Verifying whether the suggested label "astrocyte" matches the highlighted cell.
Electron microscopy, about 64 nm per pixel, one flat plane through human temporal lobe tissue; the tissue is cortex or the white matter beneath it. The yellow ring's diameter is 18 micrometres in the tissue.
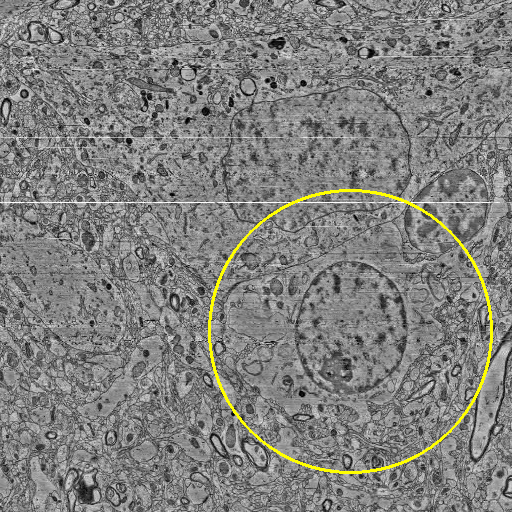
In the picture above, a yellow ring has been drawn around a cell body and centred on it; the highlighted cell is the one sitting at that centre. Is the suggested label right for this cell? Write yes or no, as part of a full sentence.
Yes, the suggested label is right for the cell centred in the yellow ring.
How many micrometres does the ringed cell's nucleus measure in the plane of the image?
About 9 by 7 micrometres in this plane.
